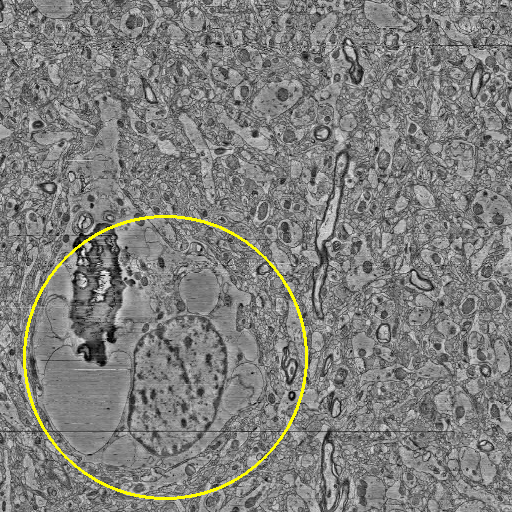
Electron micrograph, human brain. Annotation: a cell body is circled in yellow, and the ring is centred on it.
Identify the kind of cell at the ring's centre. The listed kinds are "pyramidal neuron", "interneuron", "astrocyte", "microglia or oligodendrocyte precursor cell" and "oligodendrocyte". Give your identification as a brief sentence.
The circled cell body is that of an astrocyte.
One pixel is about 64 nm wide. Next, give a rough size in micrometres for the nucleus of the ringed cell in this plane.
About 10 by 6 micrometres; in this plane the nucleus is clearly longer than it is wide.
